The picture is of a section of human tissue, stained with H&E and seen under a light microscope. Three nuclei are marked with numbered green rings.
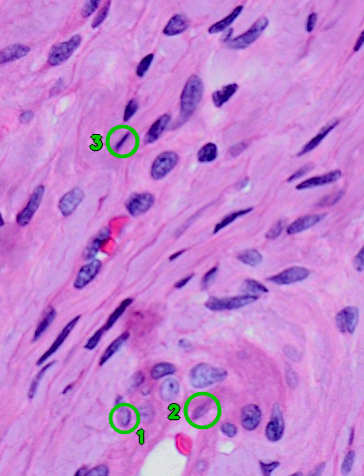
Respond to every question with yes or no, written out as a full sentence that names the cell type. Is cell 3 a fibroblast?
Yes, cell number 3 is classified as a fibroblast.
